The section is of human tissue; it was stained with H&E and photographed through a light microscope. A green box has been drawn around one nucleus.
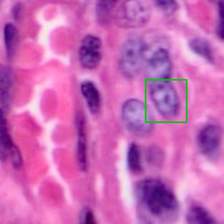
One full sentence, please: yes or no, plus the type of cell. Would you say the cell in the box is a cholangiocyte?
Yes, that is right: the cell in the box is a cholangiocyte.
